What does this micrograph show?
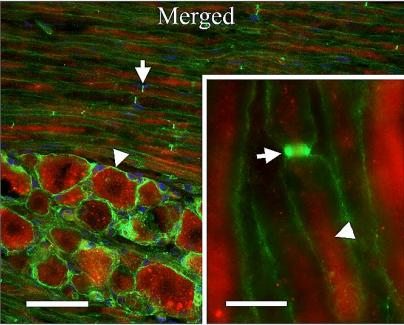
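This section shows a cluster of neuron cell bodies enveloped by satellite glial cells, beside a band of myelinated nerve fibres. The large round neuronal somata fill with red, granular staining, and each is rimmed by a thin green ring of satellite glial cells with small blue nuclei at its edge. Above them the fibres run in long parallel red bands with fine green borders from their Schwann cells. In the inset, a short bright green band crosses a fibre where the Schwann cells border the node of Ranvier.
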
